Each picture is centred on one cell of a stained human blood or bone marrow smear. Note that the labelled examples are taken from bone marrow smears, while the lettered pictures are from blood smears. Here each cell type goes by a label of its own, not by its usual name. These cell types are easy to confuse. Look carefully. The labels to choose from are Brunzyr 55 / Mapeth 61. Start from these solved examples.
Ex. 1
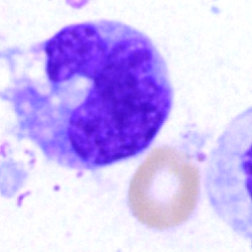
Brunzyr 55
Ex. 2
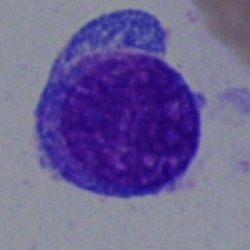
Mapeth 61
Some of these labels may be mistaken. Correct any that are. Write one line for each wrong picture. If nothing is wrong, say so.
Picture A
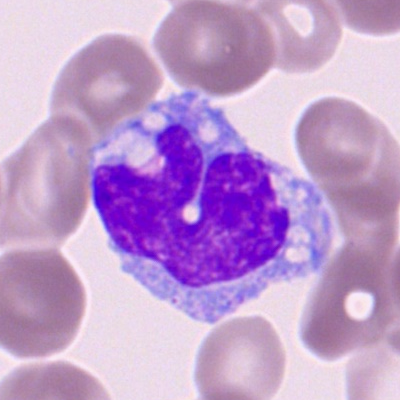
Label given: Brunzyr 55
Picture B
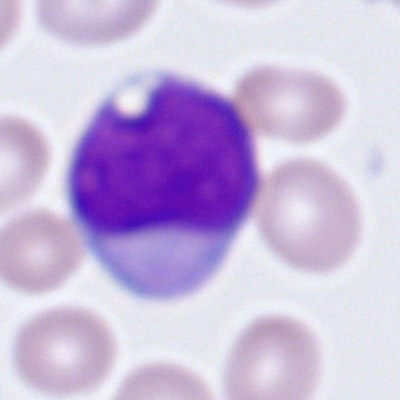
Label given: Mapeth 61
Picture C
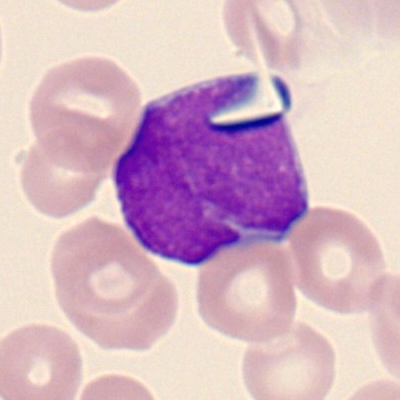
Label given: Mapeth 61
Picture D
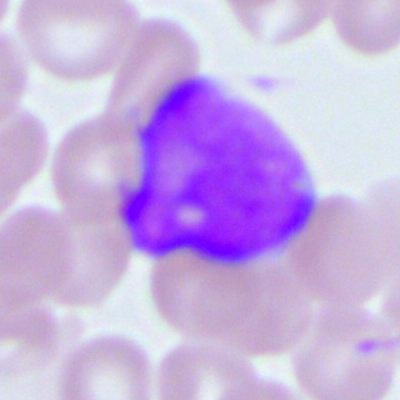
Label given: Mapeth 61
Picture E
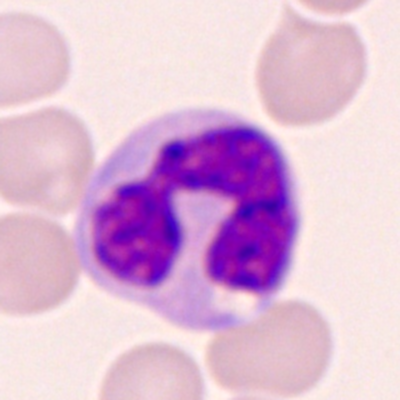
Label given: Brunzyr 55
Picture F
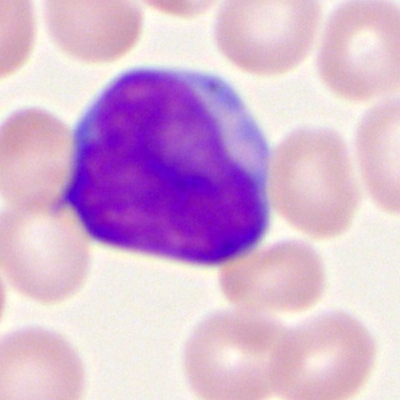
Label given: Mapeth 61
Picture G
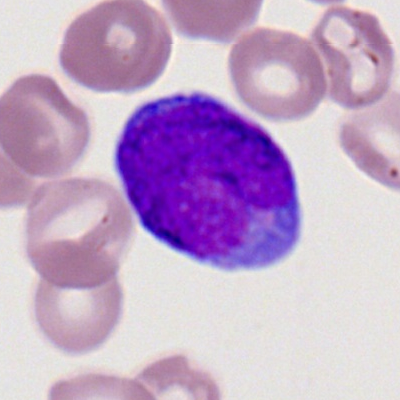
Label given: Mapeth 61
Every label is right.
